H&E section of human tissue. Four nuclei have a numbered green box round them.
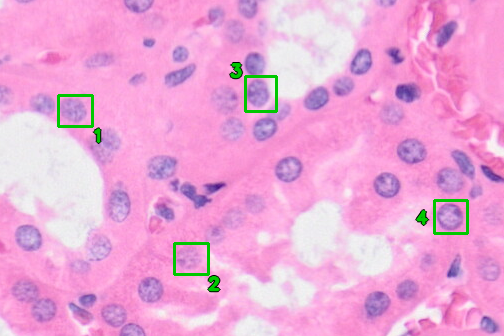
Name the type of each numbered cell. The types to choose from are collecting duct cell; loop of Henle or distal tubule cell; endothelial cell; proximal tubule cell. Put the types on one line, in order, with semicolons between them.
loop of Henle or distal tubule cell; proximal tubule cell; loop of Henle or distal tubule cell; proximal tubule cell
